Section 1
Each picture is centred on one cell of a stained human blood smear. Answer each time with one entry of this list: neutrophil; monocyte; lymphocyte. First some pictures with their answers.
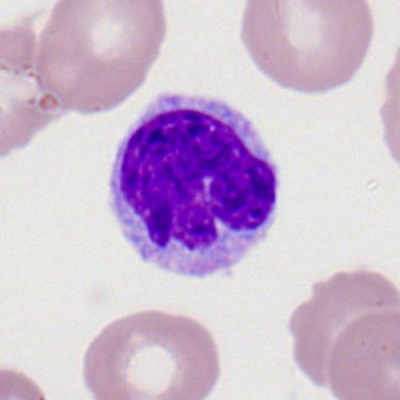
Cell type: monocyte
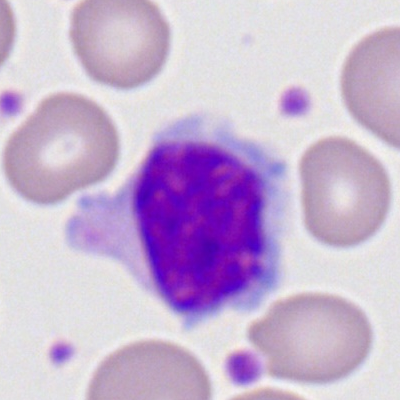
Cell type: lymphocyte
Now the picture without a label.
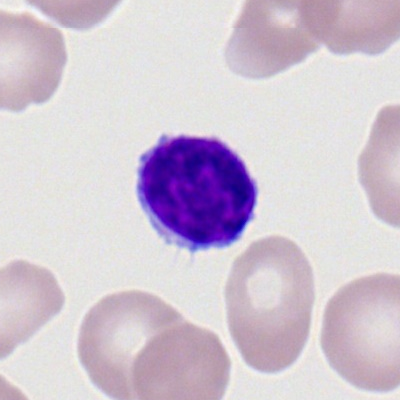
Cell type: lymphocyte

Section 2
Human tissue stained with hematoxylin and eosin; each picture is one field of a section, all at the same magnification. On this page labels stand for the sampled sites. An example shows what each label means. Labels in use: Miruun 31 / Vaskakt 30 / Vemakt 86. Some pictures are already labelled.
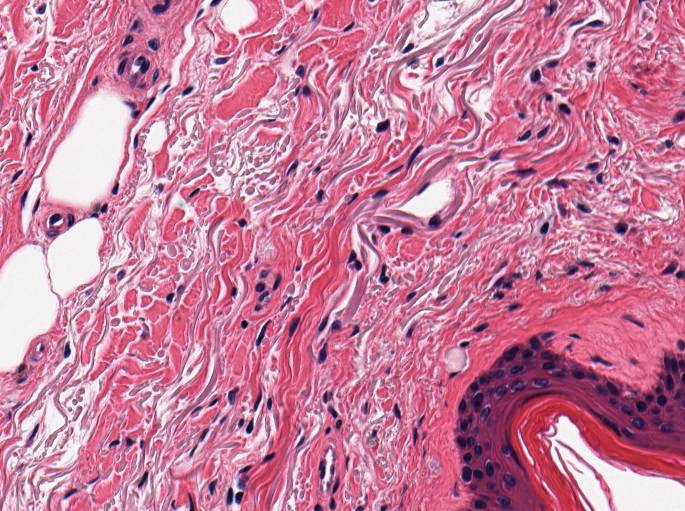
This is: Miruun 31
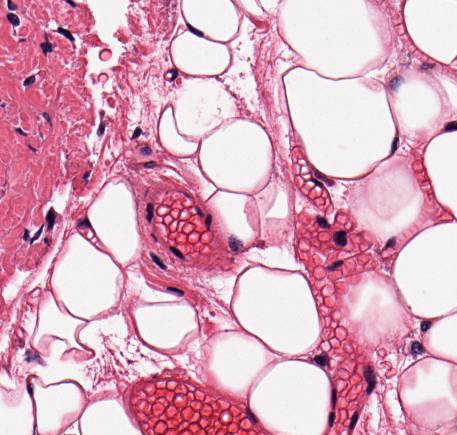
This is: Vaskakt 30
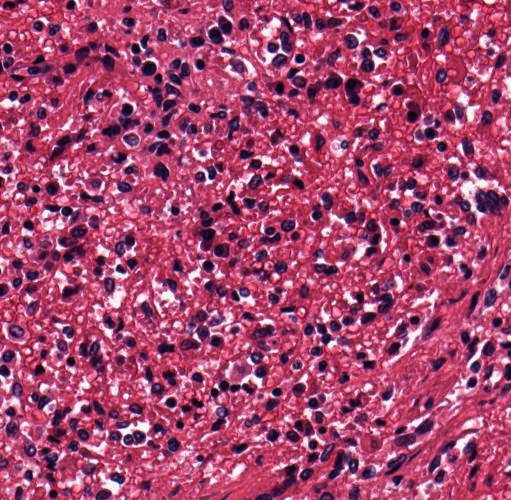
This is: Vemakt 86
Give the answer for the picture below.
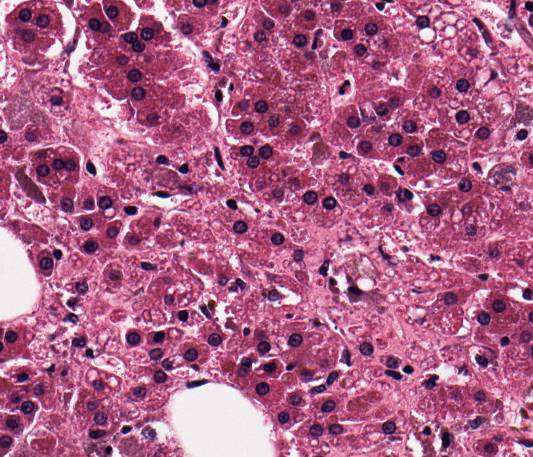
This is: Vaskakt 30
